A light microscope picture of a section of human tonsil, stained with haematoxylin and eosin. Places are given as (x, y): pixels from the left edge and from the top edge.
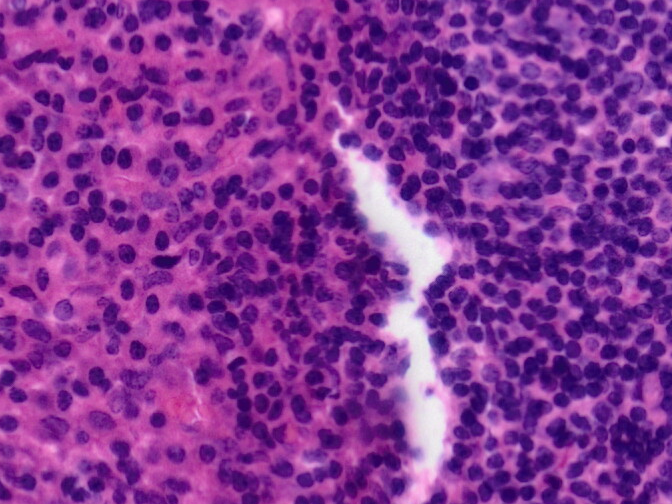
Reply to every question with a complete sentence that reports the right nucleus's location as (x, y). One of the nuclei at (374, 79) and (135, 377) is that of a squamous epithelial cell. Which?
The nucleus positioned at (135, 377) forms part of a squamous epithelial cell.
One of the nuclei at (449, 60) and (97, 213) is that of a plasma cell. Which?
The nucleus at (97, 213) is attributed to a plasma cell, unlike the other nucleus.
